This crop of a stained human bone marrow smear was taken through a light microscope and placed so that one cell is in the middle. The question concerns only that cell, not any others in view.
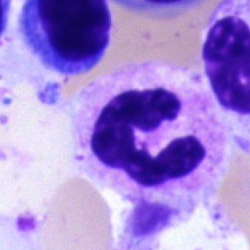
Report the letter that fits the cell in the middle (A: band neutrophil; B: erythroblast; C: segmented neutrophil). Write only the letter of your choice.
C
